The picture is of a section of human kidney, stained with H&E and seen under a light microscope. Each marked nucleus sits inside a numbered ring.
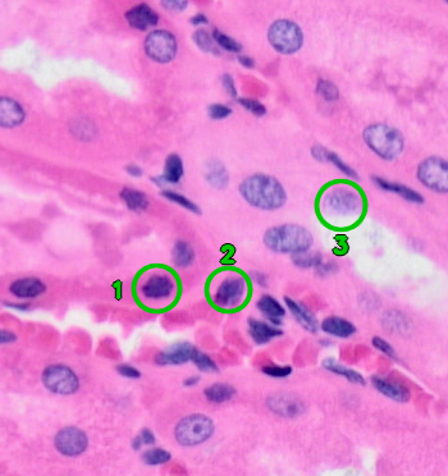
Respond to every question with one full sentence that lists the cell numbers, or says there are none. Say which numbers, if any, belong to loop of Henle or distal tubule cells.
Only one marked cell, number 3, is a loop of Henle or distal tubule cell.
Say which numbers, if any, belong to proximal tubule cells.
Cell 1, and no other numbered cell, is a proximal tubule cell.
